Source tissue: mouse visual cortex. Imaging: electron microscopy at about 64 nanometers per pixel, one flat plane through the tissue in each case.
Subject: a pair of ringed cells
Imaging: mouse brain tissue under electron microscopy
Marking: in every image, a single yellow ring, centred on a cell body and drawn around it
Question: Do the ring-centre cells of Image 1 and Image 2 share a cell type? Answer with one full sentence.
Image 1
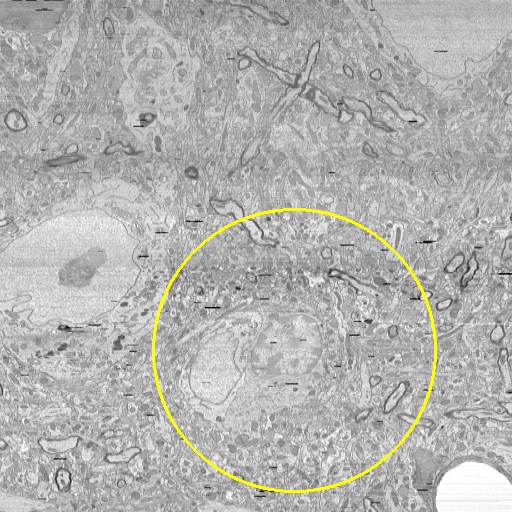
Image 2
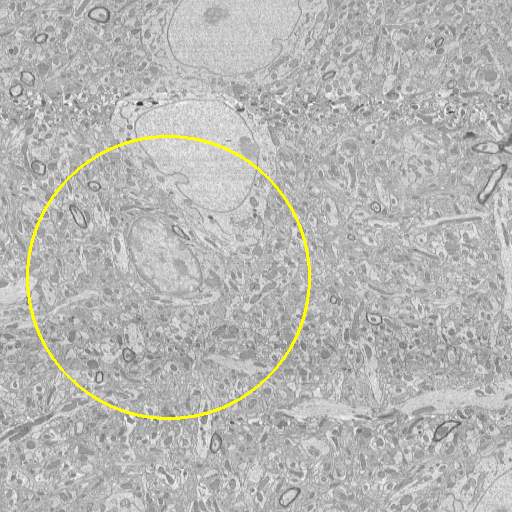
Yes, at each ring's centre in the images sits a cell of one common type.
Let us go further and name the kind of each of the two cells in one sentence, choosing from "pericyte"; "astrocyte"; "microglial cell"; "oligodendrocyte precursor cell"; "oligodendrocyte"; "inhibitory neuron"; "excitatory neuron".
In both pictures the ring is centred on an oligodendrocyte.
